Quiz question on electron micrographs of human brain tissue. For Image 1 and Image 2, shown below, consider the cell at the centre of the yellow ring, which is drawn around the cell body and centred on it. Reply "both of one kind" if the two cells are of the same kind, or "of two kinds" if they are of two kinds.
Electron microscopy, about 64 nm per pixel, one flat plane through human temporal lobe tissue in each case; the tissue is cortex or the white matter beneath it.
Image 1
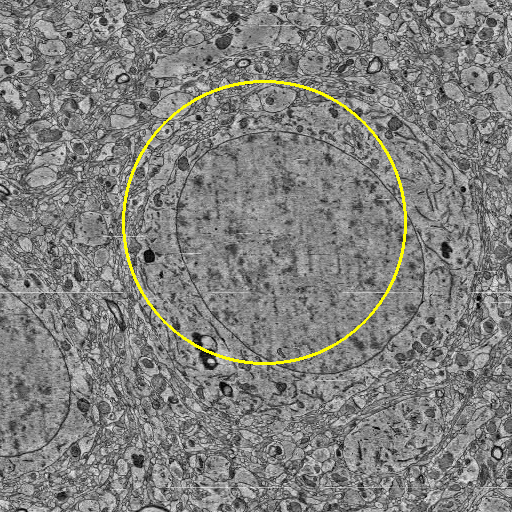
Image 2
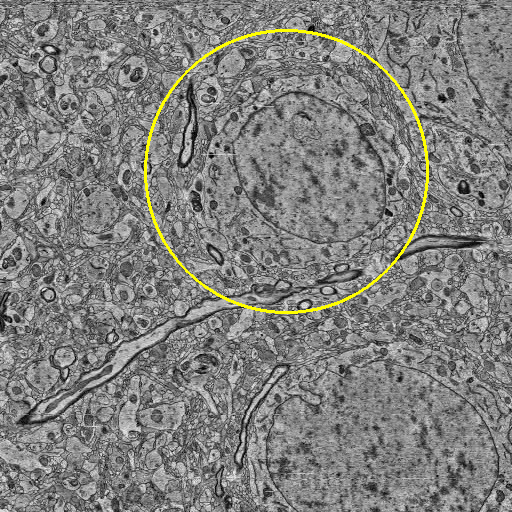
both of one kind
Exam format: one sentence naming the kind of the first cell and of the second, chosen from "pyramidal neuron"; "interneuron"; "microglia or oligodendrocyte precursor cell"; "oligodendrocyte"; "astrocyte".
In each picture the ringed cell is a pyramidal neuron.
